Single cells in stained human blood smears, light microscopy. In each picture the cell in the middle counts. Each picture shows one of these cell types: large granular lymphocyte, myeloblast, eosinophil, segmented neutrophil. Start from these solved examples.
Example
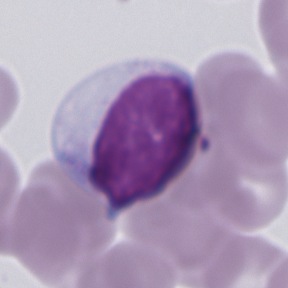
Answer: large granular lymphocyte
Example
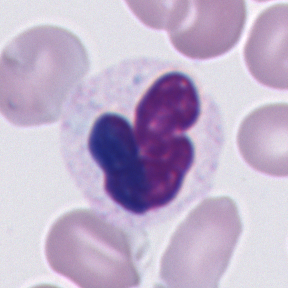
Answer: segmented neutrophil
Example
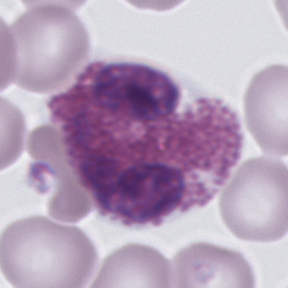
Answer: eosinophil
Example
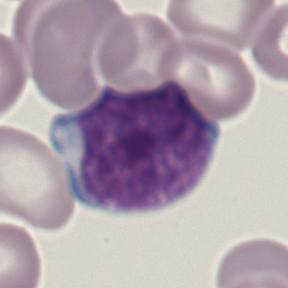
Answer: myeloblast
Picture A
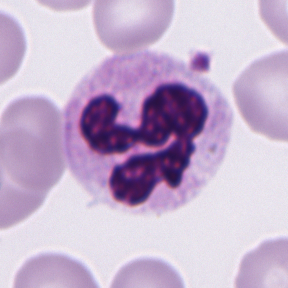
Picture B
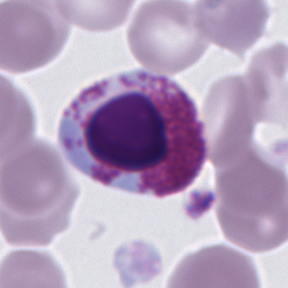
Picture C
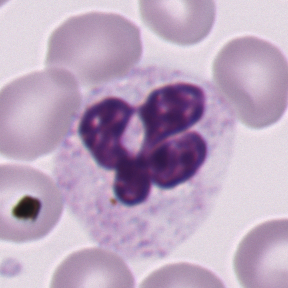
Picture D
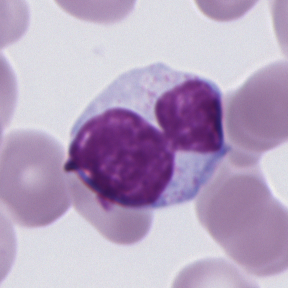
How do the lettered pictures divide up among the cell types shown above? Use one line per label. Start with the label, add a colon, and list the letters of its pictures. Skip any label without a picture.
large granular lymphocyte: D
eosinophil: B
segmented neutrophil: A, C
